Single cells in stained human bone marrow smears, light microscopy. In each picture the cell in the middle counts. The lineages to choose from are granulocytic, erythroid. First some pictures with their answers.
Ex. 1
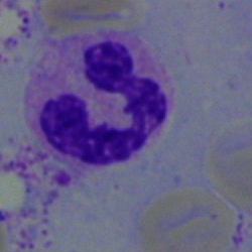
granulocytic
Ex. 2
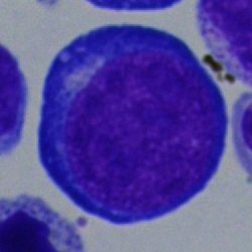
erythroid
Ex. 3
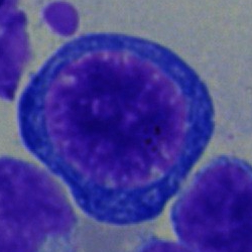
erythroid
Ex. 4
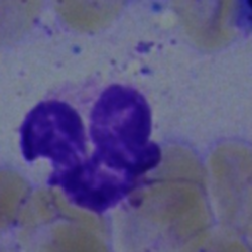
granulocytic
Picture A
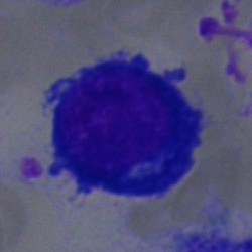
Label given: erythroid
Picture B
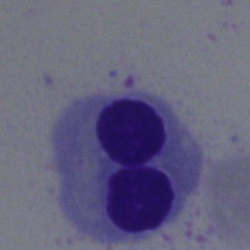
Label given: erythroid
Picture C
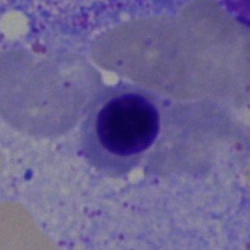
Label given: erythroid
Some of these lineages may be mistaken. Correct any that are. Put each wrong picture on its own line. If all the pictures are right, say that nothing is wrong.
All labels are correct.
